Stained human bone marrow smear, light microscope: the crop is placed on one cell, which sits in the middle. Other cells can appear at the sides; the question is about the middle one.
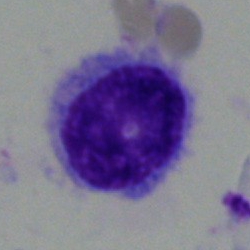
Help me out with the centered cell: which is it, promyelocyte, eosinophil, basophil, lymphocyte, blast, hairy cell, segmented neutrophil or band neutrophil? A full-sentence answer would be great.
Located at the centre of the crop is a hairy cell.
